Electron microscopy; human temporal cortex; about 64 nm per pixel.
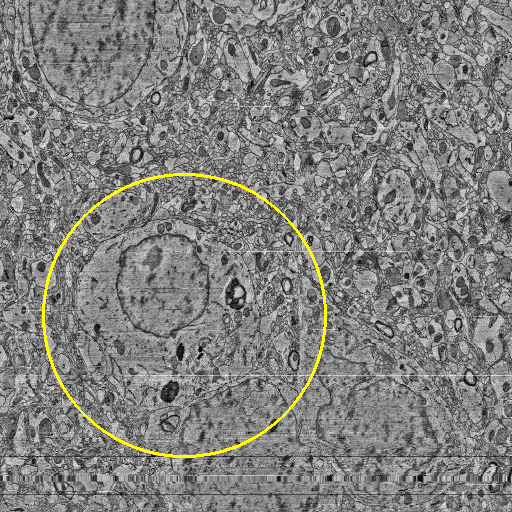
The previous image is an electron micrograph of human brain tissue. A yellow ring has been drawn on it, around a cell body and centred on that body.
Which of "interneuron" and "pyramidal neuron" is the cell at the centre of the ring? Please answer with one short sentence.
The cell body at the centre of the ring belongs to a pyramidal neuron.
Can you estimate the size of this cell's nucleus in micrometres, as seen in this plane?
The nucleus has a long axis of about 7 micrometres and a short axis of about 6 micrometres in this plane.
